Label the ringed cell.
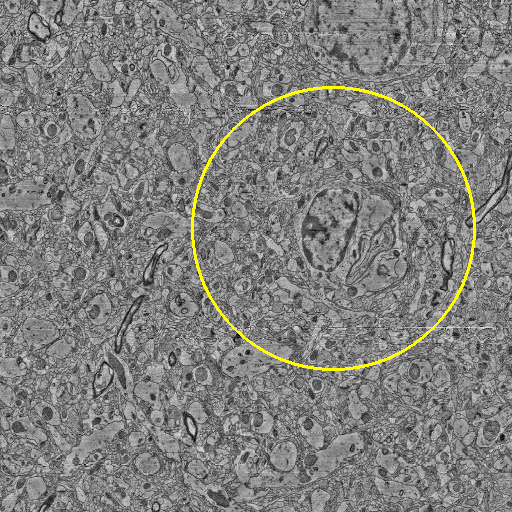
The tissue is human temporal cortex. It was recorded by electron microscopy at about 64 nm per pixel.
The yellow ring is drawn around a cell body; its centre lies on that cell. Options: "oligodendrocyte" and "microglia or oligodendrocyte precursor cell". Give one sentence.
The ringed cell is a microglial cell or oligodendrocyte precursor cell.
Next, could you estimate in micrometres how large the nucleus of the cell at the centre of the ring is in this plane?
The ringed cell's nucleus is about 5 micrometres long and 3 micrometres wide in this plane.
